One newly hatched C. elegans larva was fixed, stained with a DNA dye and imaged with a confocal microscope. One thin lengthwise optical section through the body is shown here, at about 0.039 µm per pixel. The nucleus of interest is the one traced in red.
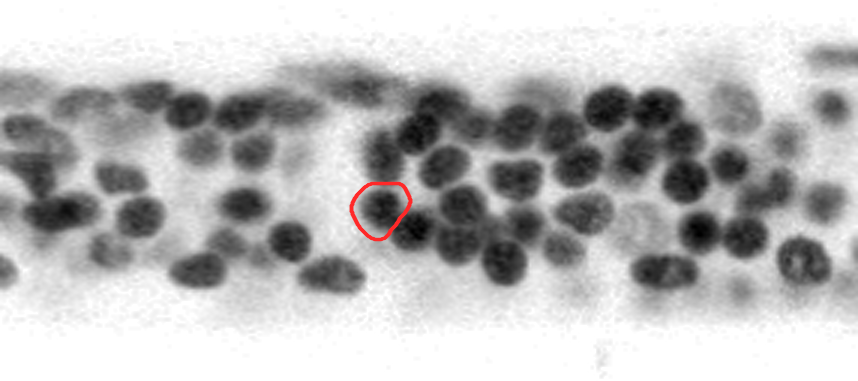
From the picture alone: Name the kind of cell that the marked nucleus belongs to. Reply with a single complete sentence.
The marked nucleus is that of a GLR cell.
